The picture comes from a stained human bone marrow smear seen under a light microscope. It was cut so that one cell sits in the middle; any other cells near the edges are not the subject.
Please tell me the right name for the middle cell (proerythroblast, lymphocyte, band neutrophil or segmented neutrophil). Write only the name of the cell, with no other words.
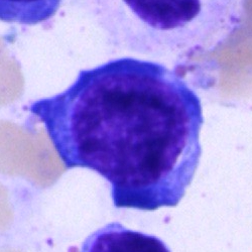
proerythroblast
